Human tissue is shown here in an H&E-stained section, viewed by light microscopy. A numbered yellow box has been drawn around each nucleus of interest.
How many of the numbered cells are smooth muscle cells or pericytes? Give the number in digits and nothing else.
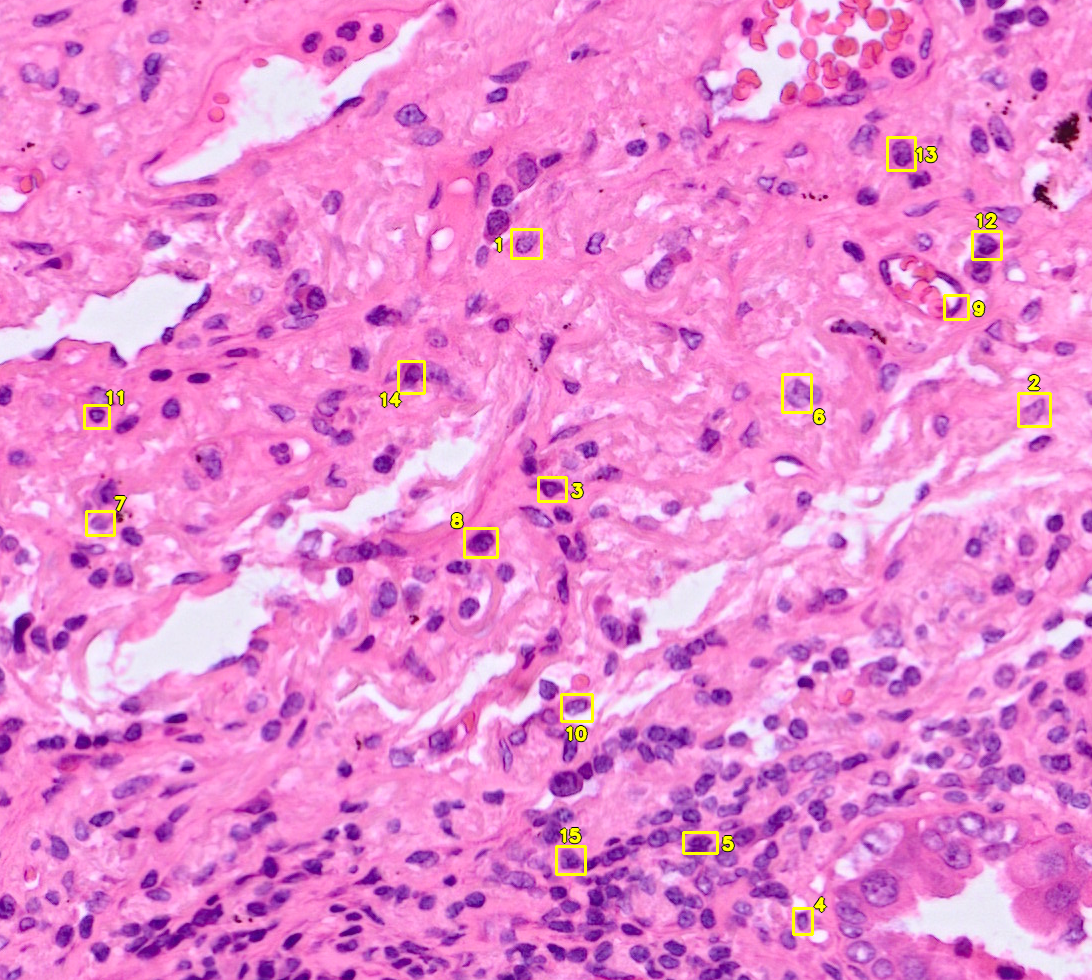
0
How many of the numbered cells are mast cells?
2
